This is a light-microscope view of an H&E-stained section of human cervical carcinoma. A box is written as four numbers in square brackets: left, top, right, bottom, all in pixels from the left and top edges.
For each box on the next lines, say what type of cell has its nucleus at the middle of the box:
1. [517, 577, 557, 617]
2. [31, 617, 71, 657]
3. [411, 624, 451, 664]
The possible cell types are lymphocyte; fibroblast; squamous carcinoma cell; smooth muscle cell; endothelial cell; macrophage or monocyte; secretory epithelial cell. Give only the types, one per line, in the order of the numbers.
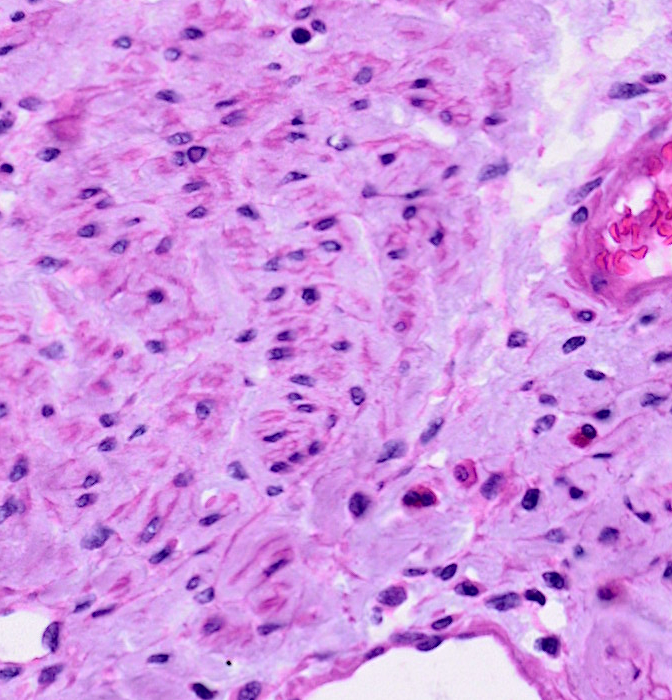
lymphocyte
endothelial cell
endothelial cell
